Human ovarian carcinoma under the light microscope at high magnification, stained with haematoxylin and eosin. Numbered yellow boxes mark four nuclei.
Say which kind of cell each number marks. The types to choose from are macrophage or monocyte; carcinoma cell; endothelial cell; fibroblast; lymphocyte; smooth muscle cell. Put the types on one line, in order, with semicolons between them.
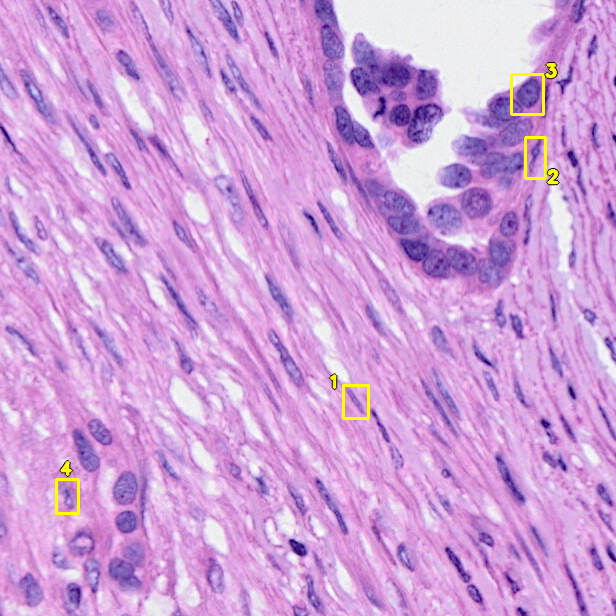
fibroblast; fibroblast; carcinoma cell; fibroblast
